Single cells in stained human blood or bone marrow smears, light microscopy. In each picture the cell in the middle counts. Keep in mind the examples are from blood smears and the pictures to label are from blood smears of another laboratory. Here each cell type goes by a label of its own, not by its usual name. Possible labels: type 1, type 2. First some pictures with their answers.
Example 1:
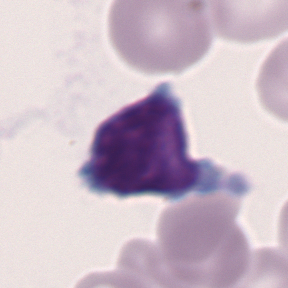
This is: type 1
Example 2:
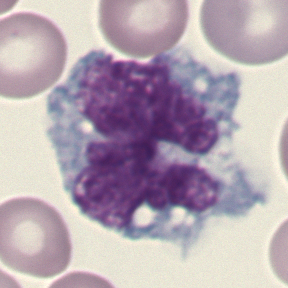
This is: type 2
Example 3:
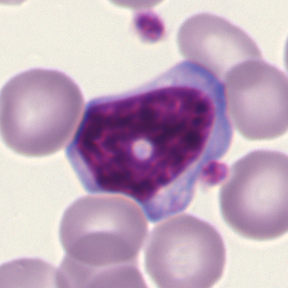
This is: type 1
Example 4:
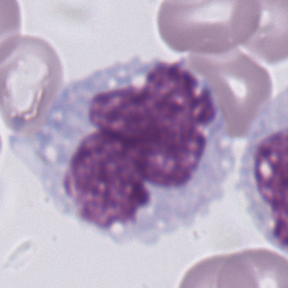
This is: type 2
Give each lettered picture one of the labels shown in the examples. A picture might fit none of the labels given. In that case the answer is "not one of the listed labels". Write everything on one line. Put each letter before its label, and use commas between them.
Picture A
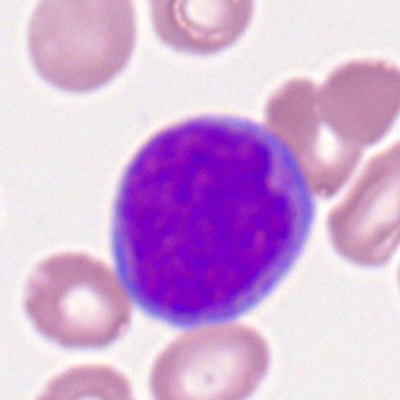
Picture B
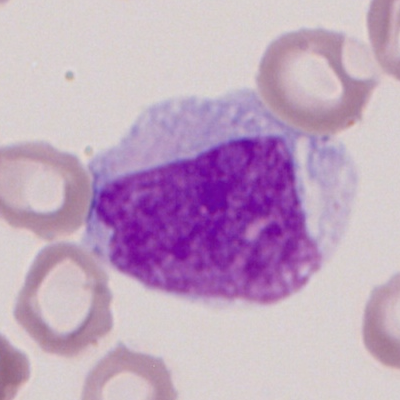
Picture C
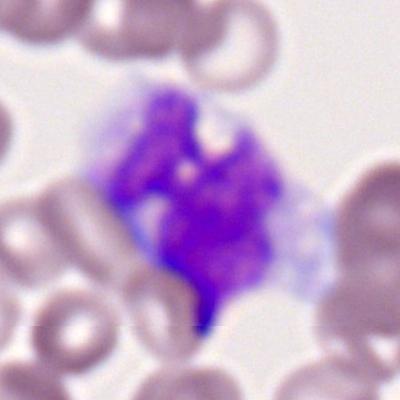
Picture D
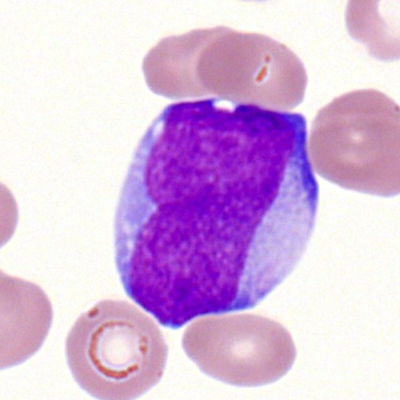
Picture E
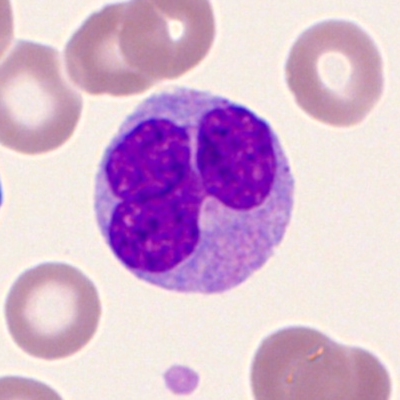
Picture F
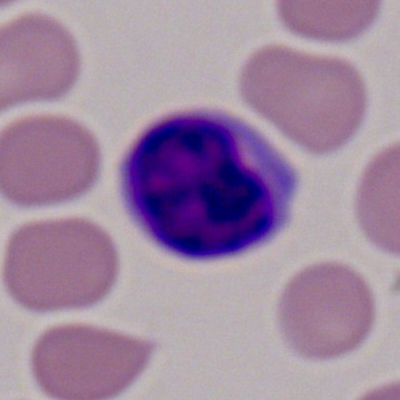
A not one of the listed labels, B type 2, C type 2, D not one of the listed labels, E type 2, F type 1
